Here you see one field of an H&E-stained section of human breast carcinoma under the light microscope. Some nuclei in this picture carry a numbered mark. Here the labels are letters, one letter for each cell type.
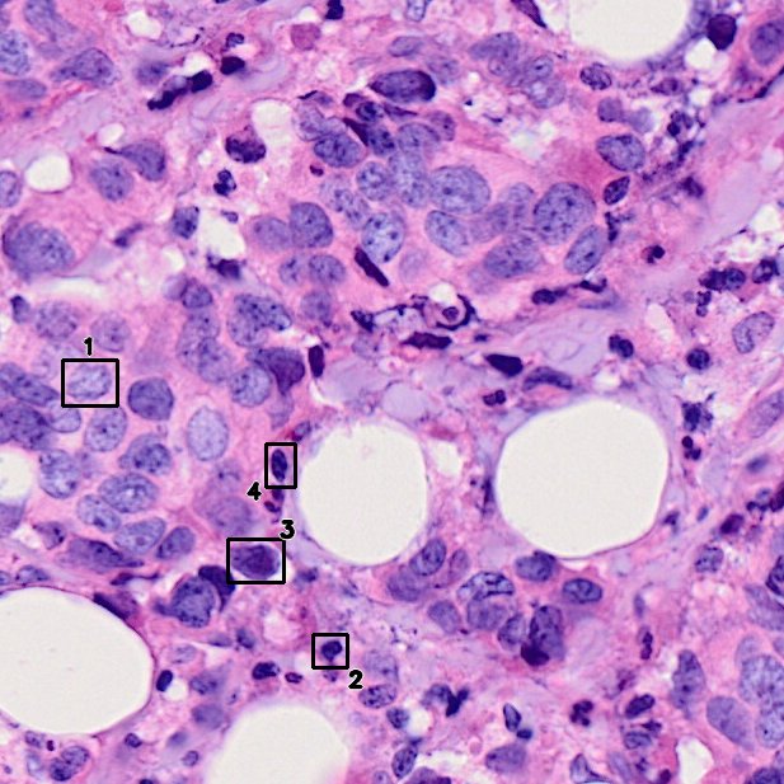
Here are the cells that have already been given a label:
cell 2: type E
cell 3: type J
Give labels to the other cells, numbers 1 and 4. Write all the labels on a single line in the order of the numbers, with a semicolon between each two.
type J; type E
